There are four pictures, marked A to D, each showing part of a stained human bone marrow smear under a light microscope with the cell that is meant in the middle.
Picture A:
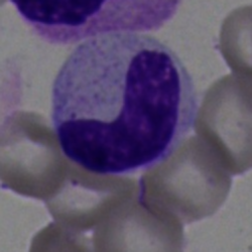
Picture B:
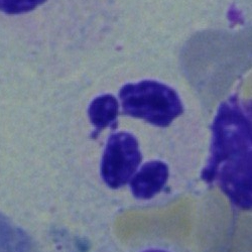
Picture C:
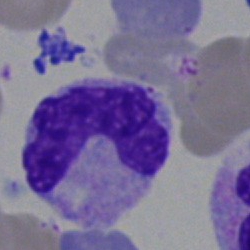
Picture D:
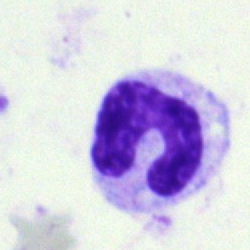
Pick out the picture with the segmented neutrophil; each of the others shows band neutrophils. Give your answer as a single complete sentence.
Picture B is the one that shows the segmented neutrophil.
